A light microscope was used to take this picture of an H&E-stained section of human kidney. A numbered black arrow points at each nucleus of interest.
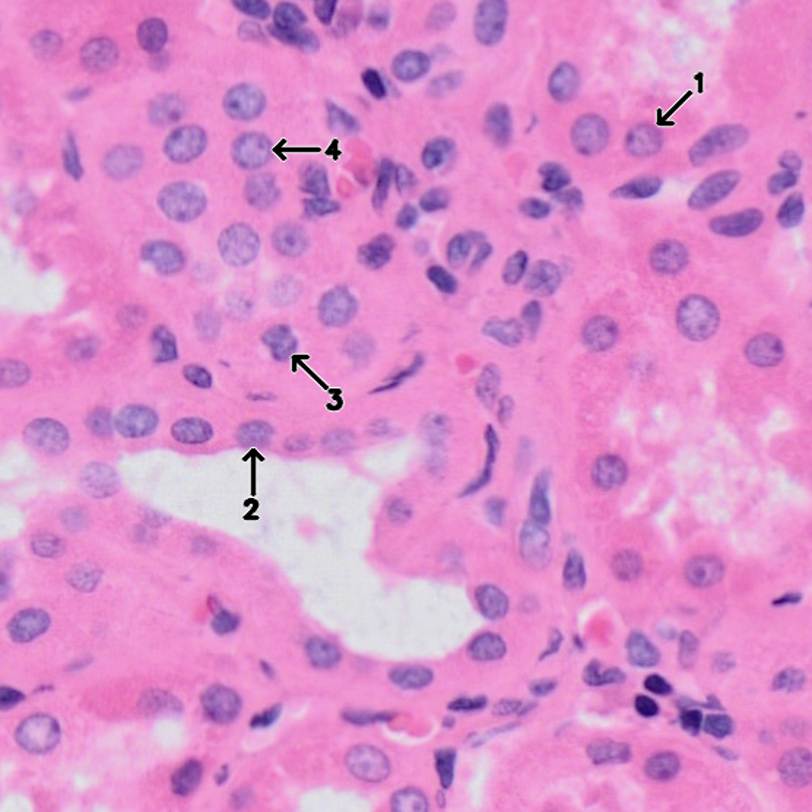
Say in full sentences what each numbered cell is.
Cell 1 is a proximal tubule cell, cell 2 is a loop of Henle or distal tubule cell, cell 3 is a loop of Henle or distal tubule cell and cell 4 is a loop of Henle or distal tubule cell.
